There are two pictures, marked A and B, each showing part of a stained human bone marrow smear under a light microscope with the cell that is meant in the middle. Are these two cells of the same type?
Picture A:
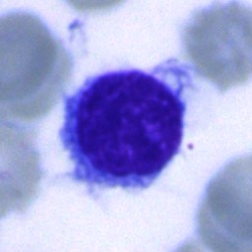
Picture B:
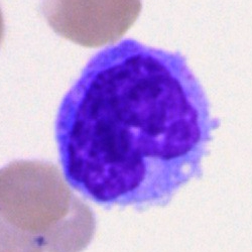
no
